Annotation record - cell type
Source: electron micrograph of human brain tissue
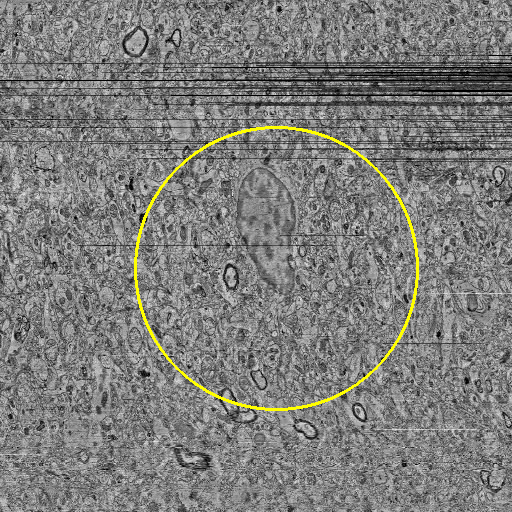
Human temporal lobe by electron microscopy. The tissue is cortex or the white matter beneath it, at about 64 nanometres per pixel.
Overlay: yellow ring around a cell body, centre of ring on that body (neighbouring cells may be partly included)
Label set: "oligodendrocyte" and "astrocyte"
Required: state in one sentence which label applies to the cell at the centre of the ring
This cell should be labelled as an oligodendrocyte.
